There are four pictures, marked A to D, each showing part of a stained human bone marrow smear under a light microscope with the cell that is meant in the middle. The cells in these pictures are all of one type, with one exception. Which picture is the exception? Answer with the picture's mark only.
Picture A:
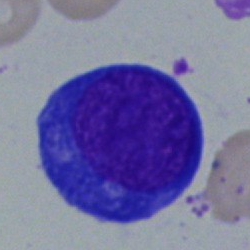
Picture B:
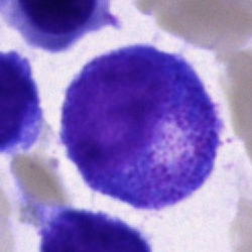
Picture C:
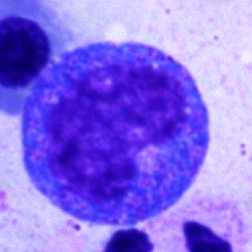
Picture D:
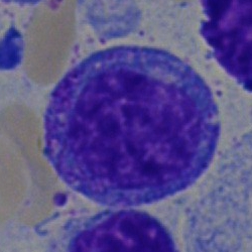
A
